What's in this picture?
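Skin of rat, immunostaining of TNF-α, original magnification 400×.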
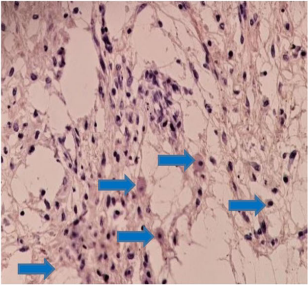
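Loose dermal connective tissue with many clear spaces between pale fibres. Scattered inflammatory cells with small, round, dark nuclei lie among spindle-shaped cells. The tissue is not tightly organised.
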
